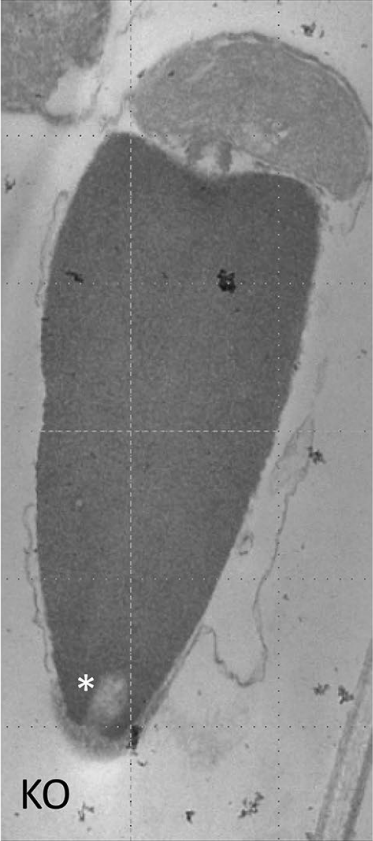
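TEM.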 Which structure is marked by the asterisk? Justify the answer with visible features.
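Fossa. A small pale rounded area lies inside the dark nucleus near its narrow tip.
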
